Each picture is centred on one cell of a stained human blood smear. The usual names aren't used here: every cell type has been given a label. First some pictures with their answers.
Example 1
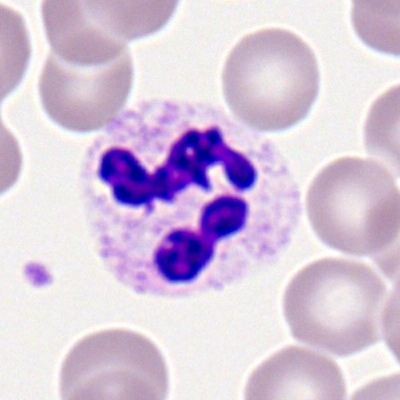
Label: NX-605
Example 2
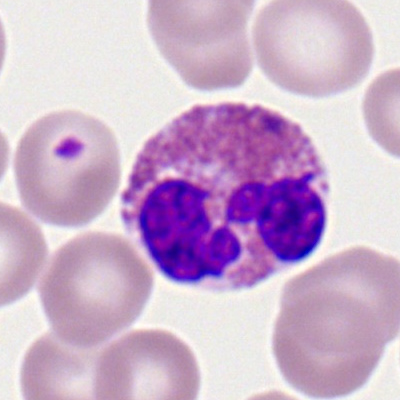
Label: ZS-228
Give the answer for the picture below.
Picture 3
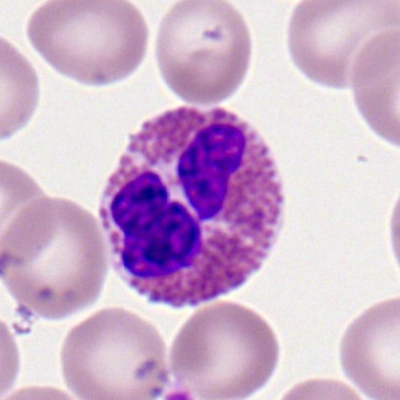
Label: ZS-228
